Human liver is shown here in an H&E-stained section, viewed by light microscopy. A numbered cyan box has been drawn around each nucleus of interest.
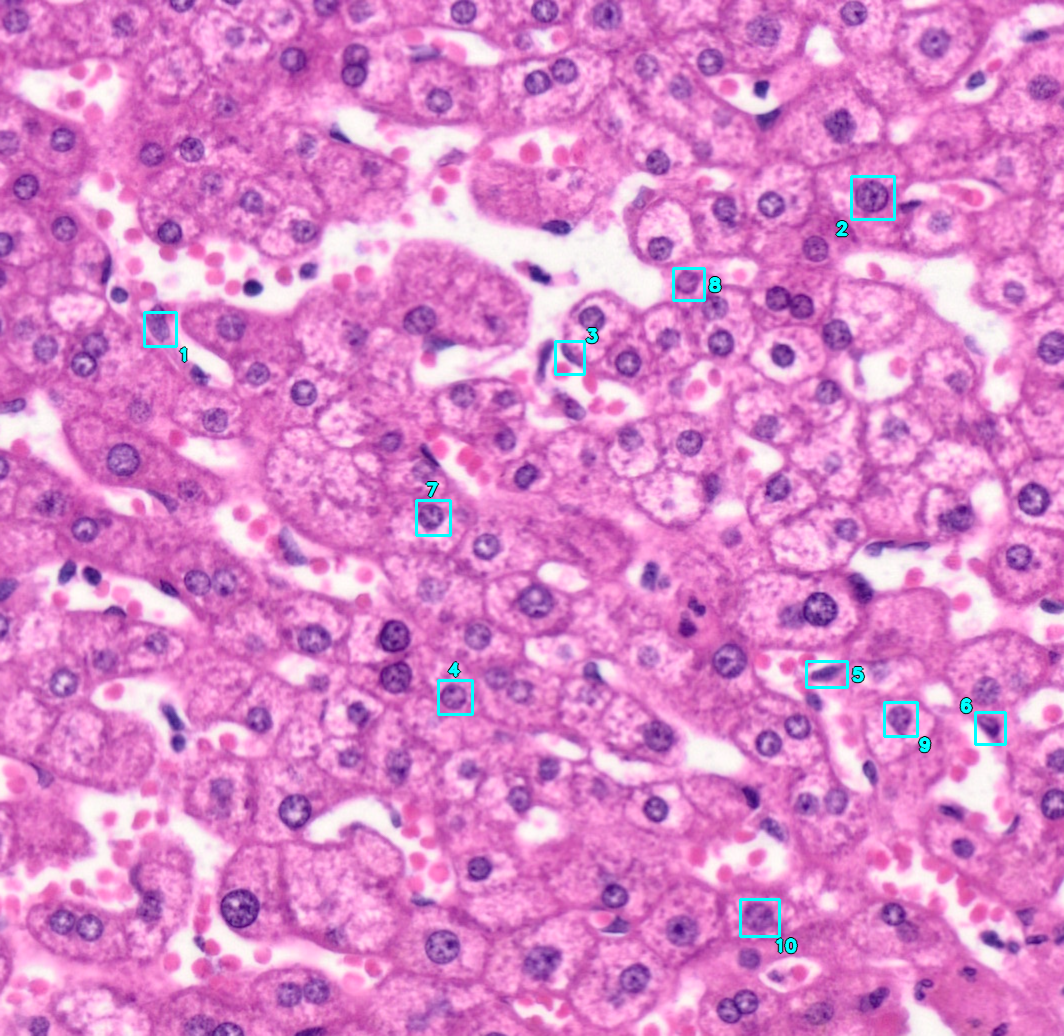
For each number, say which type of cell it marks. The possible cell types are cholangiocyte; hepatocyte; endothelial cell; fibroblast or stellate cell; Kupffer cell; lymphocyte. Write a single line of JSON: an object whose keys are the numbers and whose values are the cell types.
{"1": "Kupffer cell", "2": "hepatocyte", "3": "endothelial cell", "4": "hepatocyte", "5": "Kupffer cell", "6": "Kupffer cell", "7": "hepatocyte", "8": "hepatocyte", "9": "hepatocyte", "10": "hepatocyte"}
